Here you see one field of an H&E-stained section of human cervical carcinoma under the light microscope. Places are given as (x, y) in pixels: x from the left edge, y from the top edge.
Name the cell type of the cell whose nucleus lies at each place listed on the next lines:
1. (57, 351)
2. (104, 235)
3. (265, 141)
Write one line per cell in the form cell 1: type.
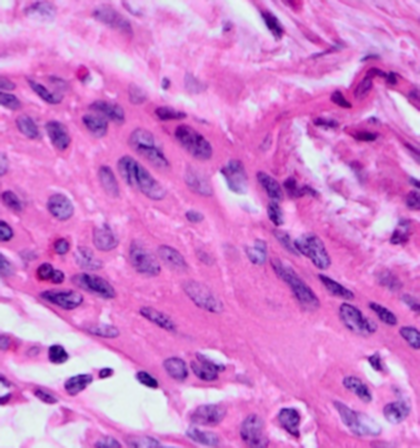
cell 1: lymphocyte
cell 2: squamous carcinoma cell
cell 3: squamous carcinoma cell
